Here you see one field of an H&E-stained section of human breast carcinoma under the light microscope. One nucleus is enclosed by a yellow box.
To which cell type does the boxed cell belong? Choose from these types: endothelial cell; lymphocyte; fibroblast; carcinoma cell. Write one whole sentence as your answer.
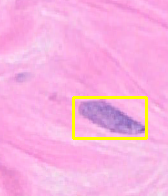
The boxed cell is a fibroblast.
